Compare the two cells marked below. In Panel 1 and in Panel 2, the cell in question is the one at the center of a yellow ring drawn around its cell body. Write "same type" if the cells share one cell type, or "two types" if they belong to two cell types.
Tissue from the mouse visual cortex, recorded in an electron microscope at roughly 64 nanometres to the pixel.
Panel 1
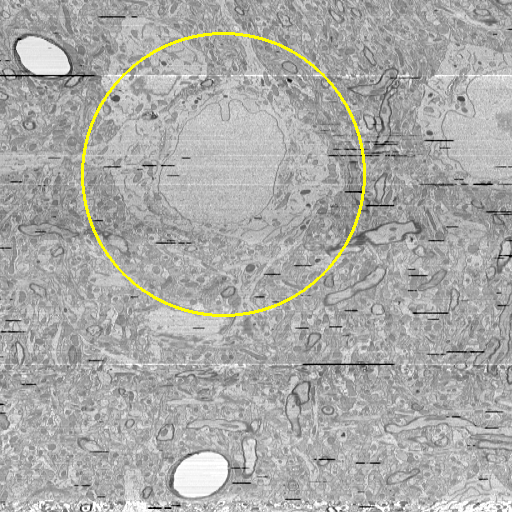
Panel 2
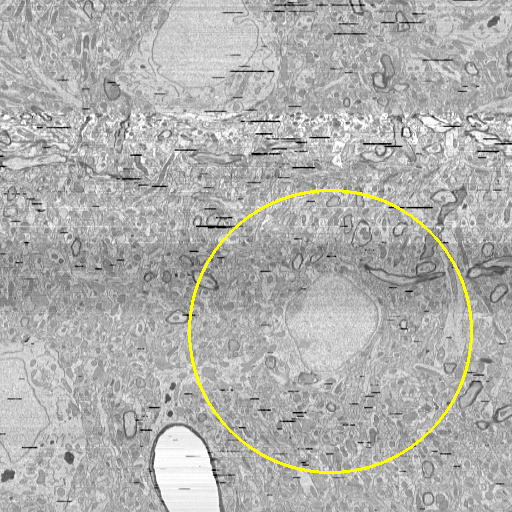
two types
